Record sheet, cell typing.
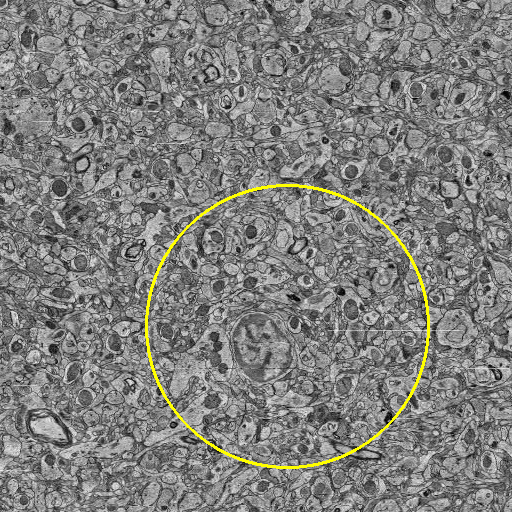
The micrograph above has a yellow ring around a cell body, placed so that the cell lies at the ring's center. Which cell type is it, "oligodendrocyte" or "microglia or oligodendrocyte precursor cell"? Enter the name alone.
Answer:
microglia or oligodendrocyte precursor cell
